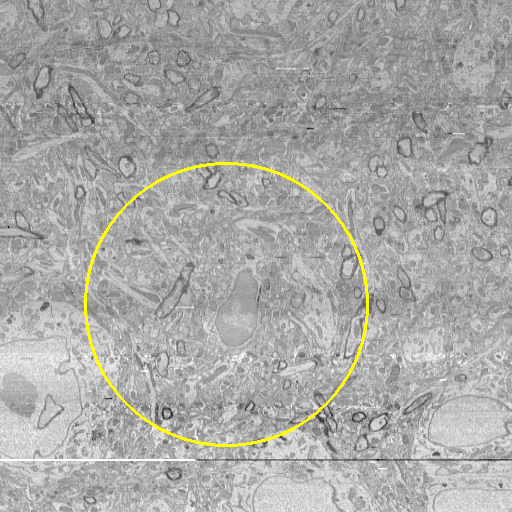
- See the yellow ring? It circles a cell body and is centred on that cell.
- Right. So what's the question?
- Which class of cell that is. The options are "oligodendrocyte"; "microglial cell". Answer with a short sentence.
The centre of the ring holds a microglial cell.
